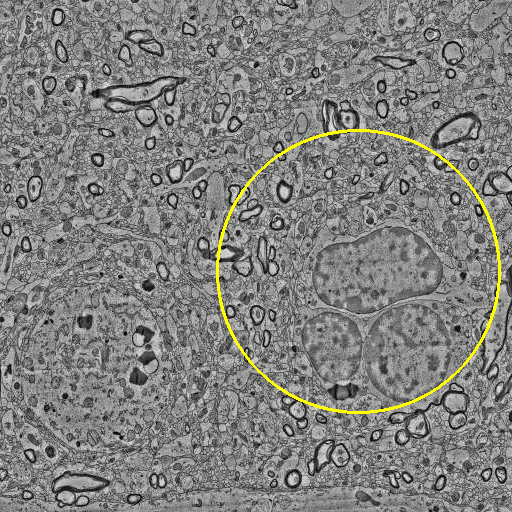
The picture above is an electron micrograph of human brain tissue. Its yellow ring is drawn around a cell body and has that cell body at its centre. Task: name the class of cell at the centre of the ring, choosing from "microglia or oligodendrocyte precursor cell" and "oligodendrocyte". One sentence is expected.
The ring surrounds the body of a microglial cell or oligodendrocyte precursor cell.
